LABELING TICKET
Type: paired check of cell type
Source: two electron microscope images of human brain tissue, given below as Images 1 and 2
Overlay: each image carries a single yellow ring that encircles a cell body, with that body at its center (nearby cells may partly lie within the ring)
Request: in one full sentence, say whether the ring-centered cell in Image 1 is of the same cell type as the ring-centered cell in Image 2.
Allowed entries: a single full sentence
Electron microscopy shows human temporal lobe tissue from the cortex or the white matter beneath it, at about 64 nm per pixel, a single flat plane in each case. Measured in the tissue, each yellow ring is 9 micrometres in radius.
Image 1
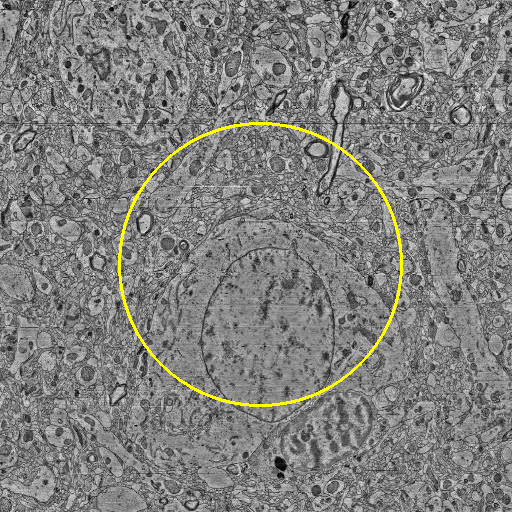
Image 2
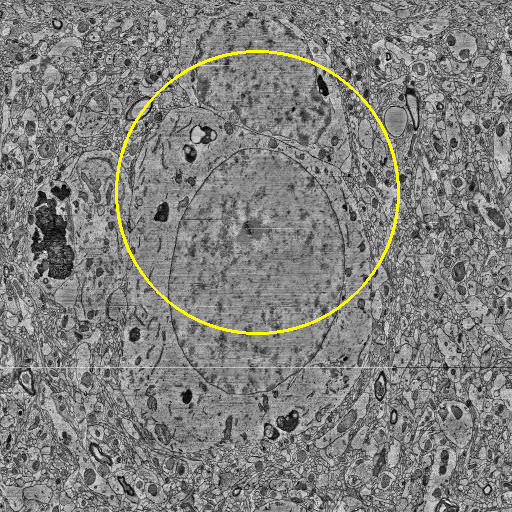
Yes, the cells centered in the rings of Image 1 and Image 2 share one type.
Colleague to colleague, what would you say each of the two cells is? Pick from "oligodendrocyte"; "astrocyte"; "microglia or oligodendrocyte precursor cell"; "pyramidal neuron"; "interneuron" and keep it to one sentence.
Each of the two cells is a pyramidal neuron.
